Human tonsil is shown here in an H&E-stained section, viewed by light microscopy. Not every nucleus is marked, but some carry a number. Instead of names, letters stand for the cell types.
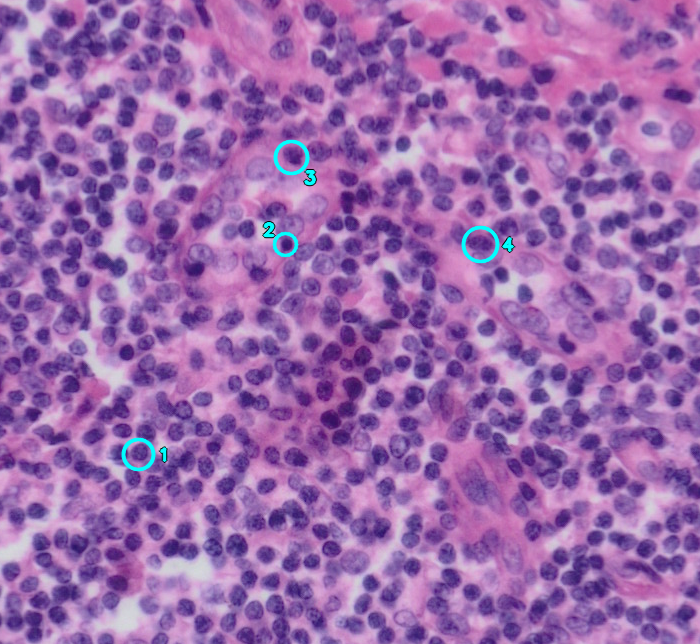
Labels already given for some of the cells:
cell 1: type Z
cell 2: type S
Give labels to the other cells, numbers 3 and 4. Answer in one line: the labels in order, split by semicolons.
type S; type S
